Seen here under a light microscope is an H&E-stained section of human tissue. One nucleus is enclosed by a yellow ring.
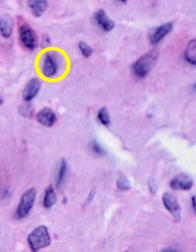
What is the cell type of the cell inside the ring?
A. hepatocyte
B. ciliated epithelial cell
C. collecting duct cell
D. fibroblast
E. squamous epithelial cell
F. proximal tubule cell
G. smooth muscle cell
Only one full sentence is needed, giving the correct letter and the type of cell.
Of all the options, D is right, since the cell inside the ring is a fibroblast.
